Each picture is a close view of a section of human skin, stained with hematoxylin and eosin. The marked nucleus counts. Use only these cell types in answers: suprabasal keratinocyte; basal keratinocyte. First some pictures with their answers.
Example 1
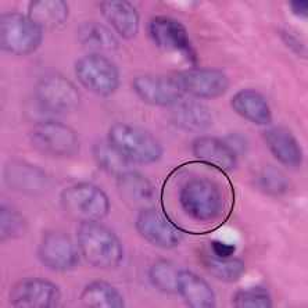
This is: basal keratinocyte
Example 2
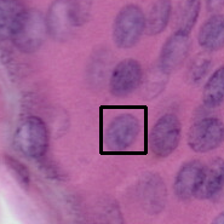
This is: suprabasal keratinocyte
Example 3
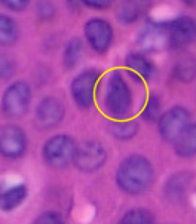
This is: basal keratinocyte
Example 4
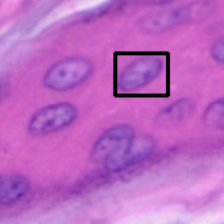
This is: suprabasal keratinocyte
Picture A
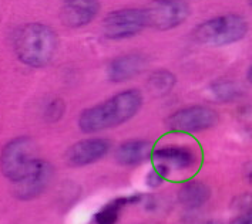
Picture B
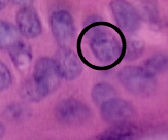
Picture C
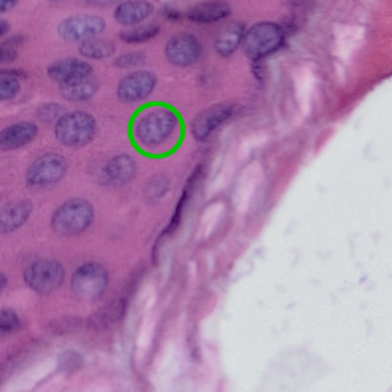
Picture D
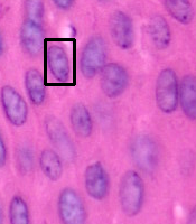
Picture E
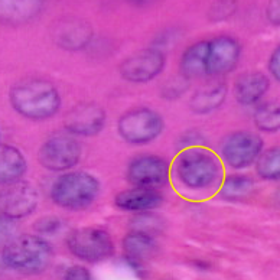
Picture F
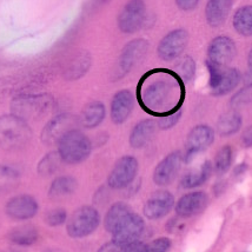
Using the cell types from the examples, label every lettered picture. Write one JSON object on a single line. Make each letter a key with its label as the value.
{"A": "basal keratinocyte", "B": "basal keratinocyte", "C": "suprabasal keratinocyte", "D": "suprabasal keratinocyte", "E": "basal keratinocyte", "F": "suprabasal keratinocyte"}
